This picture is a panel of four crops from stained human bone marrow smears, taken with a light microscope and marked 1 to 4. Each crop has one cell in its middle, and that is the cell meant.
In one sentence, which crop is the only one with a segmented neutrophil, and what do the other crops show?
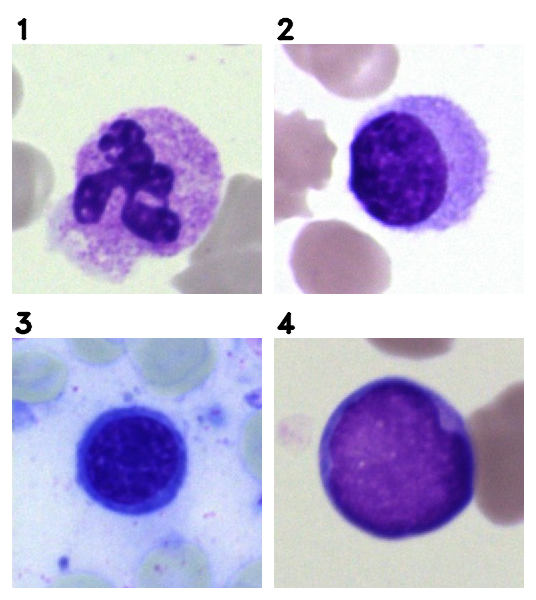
Crop by crop: crop 1 is a segmented neutrophil, while crop 2 is a hairy cell, crop 3 is an erythroblast and crop 4 is a blast.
